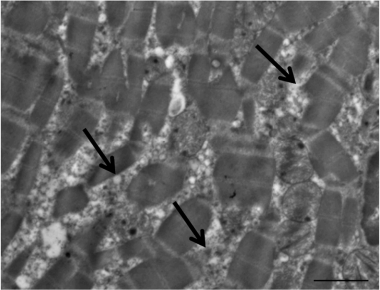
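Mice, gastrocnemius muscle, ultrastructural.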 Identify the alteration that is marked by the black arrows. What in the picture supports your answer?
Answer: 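Disarranged areas with a significant increase in intersarcomeric area. The arrows point to wide pale granular spaces between myofibril blocks. The myofibril blocks are irregular and tilted rather than in parallel rows. The pale spaces hold few dark oval organelles.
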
